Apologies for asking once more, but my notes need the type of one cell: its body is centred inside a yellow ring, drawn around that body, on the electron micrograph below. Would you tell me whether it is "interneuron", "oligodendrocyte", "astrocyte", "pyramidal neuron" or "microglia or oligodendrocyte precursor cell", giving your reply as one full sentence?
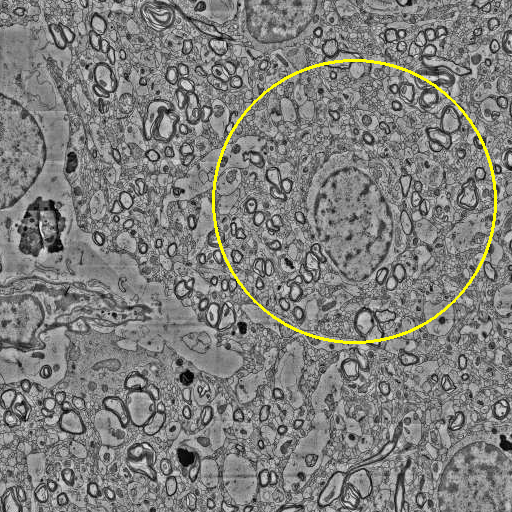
The cell that the yellow ring is centred on is a microglial cell or oligodendrocyte precursor cell in this micrograph.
